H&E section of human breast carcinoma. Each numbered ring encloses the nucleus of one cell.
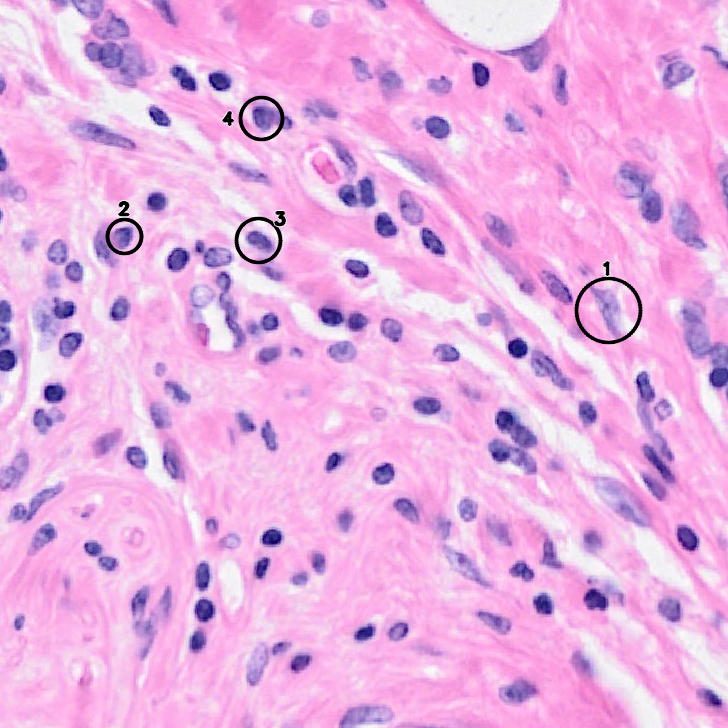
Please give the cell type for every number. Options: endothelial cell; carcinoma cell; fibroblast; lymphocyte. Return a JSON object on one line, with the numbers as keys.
{"1": "fibroblast", "2": "lymphocyte", "3": "lymphocyte", "4": "lymphocyte"}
